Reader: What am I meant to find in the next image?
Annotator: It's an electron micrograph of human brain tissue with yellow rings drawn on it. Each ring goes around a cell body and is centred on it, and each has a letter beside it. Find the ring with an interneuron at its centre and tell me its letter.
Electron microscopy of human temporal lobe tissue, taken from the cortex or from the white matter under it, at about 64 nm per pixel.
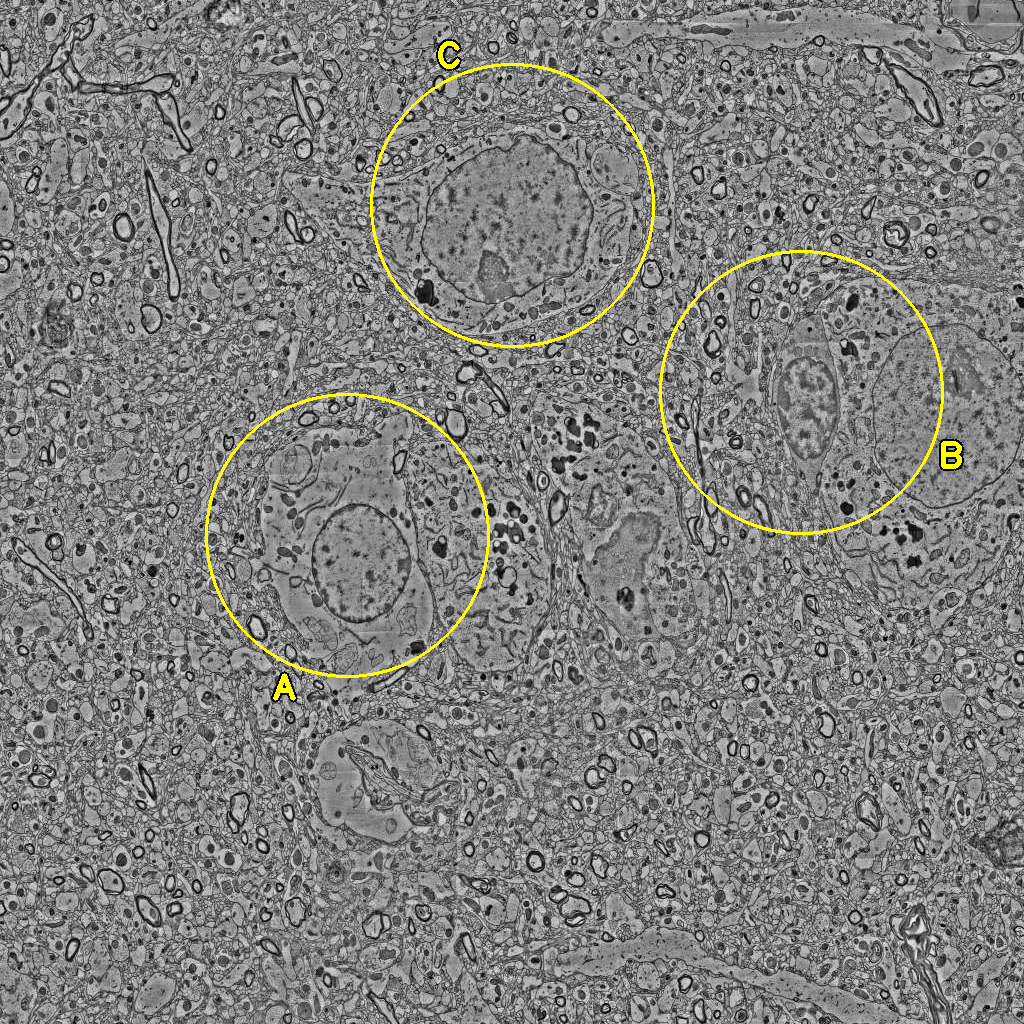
C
